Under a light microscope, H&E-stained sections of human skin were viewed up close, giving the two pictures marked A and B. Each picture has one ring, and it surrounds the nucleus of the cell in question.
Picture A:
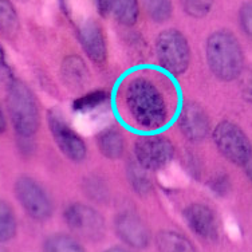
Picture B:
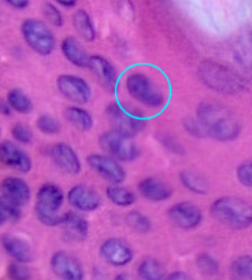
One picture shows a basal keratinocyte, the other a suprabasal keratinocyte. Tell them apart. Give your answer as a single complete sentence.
The cell in picture A is a basal keratinocyte, and the one in picture B is a suprabasal keratinocyte.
